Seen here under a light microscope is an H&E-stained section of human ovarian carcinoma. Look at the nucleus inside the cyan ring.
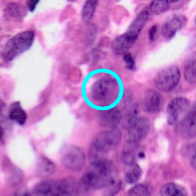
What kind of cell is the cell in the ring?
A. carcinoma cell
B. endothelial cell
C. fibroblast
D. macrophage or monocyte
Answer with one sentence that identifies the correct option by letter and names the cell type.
It is option A that correctly calls the cell in the ring a carcinoma cell.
